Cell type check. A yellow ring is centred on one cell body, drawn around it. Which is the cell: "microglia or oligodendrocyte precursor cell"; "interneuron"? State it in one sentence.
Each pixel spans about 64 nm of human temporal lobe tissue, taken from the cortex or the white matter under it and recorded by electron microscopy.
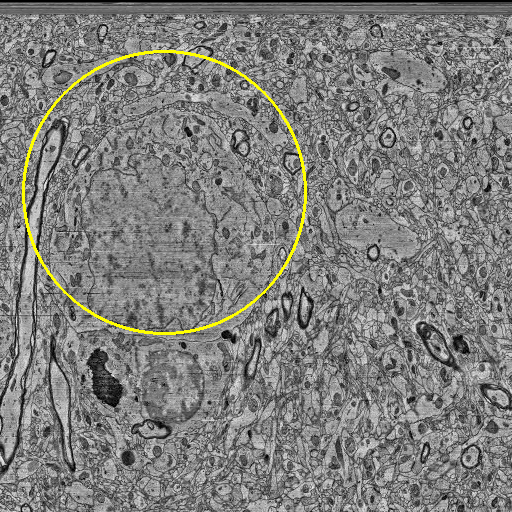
The cell body at the ring's centre belongs to an interneuron.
